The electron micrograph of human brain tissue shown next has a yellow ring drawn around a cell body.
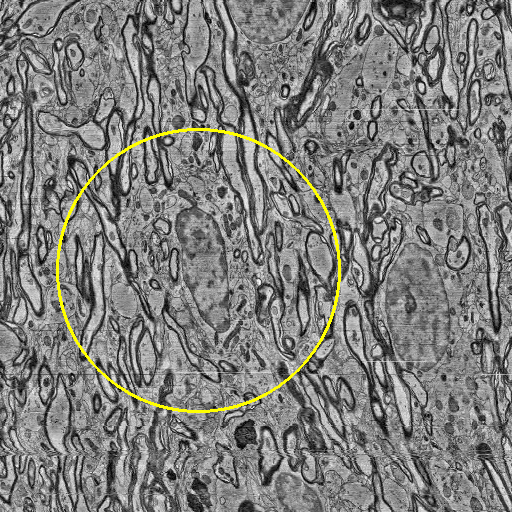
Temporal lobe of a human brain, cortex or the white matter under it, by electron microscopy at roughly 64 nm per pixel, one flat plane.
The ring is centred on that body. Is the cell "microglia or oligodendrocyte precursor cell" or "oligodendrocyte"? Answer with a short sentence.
The cell in question is a microglial cell or oligodendrocyte precursor cell.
